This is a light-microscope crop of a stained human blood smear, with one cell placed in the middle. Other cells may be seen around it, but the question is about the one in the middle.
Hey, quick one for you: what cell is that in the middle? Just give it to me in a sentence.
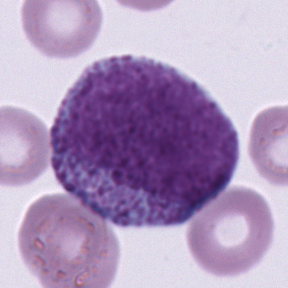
This crop has a promyelocyte at its centre.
